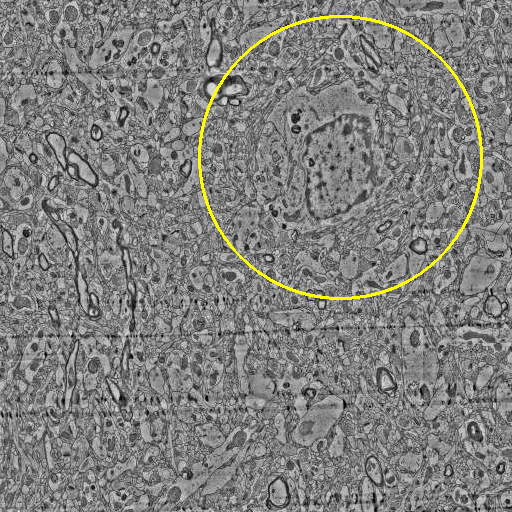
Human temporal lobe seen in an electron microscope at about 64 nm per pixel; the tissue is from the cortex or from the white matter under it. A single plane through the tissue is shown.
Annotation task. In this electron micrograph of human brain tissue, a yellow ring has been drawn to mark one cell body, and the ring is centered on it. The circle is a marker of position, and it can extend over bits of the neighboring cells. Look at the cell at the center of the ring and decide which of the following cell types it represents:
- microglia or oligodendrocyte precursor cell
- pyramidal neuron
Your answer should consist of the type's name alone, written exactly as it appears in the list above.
microglia or oligodendrocyte precursor cell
